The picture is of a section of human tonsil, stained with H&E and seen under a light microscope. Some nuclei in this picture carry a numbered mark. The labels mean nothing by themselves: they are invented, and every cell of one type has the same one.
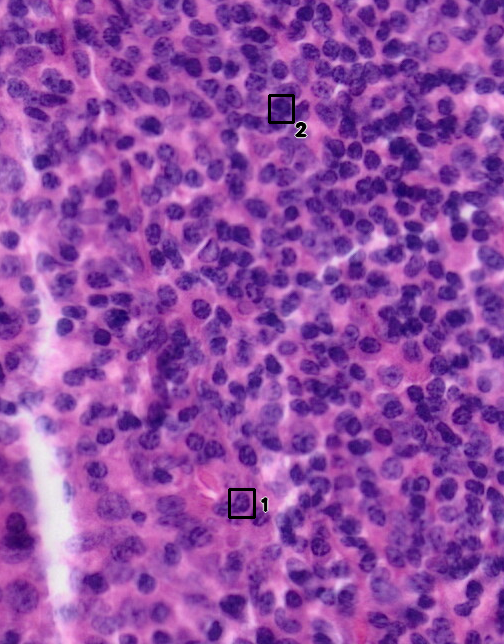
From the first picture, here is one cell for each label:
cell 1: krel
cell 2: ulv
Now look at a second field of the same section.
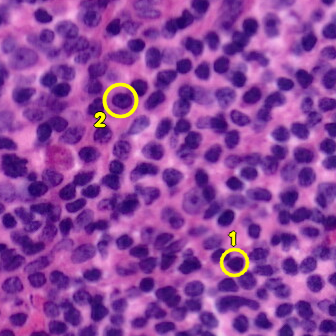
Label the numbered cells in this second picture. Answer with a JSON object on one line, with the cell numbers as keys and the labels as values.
{"1": "ulv", "2": "krel"}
